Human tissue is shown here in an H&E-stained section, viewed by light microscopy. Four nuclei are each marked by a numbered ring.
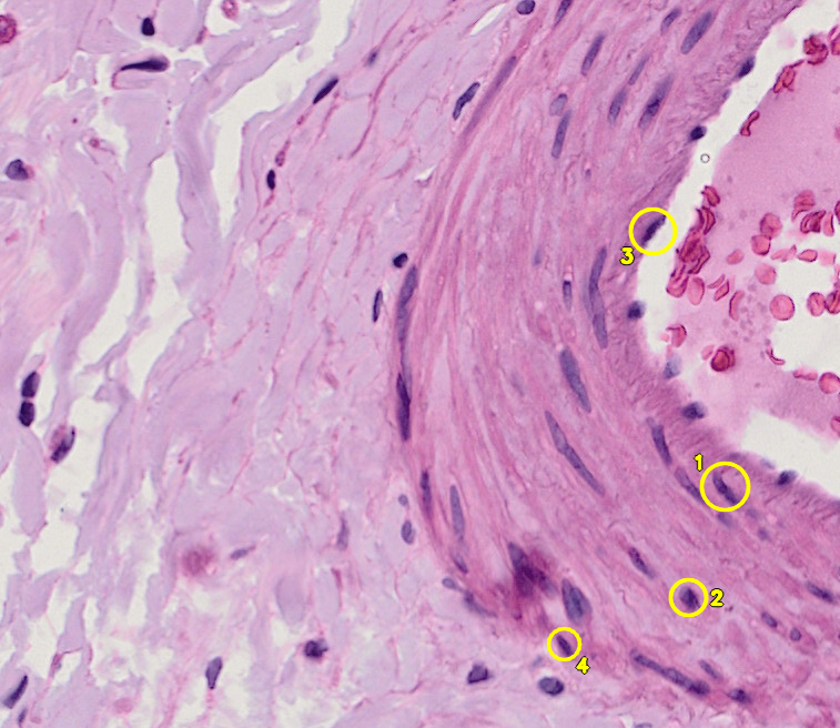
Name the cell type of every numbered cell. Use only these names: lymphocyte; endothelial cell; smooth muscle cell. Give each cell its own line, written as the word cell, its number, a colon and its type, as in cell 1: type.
cell 1: smooth muscle cell
cell 2: smooth muscle cell
cell 3: endothelial cell
cell 4: smooth muscle cell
